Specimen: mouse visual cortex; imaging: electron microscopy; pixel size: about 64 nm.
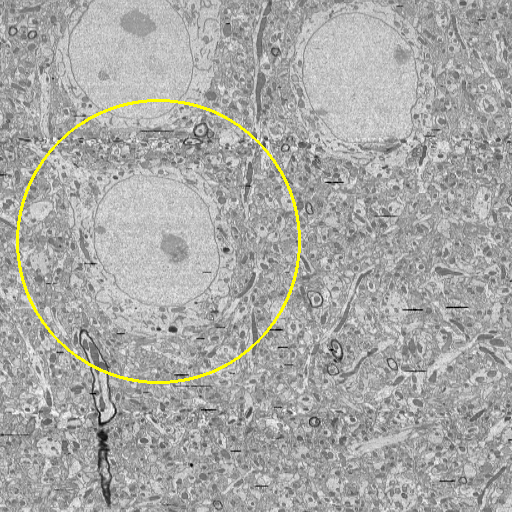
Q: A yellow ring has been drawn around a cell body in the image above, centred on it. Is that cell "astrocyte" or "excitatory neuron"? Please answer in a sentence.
The ring surrounds the cell body of an excitatory neuron.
